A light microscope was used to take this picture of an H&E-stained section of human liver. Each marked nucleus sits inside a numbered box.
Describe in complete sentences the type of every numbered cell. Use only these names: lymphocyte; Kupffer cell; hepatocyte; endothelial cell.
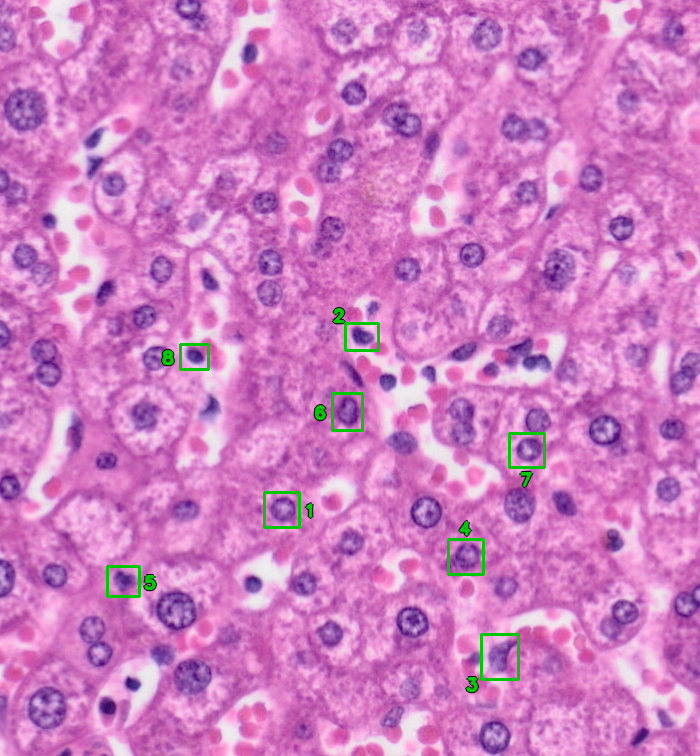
Cell 1 is a hepatocyte, cell 2 is a lymphocyte, cell 3 is a Kupffer cell, cell 4 is a hepatocyte, cell 5 is an endothelial cell, cell 6 is a hepatocyte, cell 7 is a hepatocyte and cell 8 is a lymphocyte.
